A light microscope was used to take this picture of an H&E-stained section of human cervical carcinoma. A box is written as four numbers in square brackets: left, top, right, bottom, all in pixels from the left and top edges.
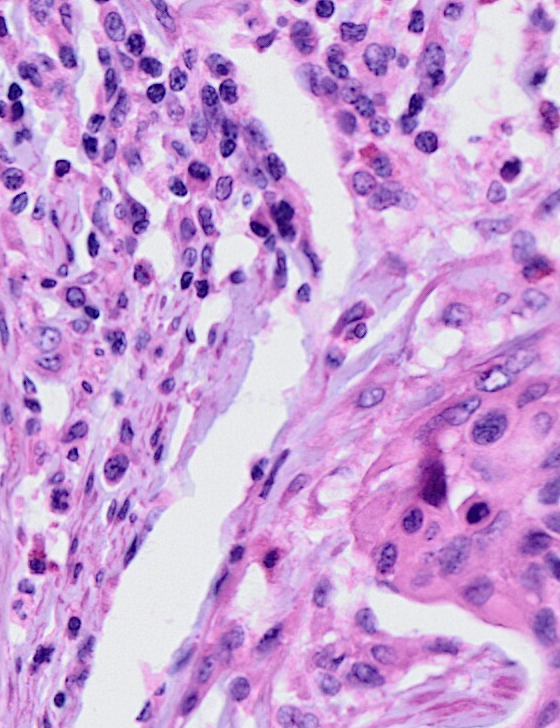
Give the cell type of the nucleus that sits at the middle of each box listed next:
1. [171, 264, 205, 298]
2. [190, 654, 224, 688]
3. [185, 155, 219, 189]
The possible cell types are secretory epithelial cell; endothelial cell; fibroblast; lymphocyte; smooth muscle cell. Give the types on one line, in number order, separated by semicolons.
lymphocyte; endothelial cell; lymphocyte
